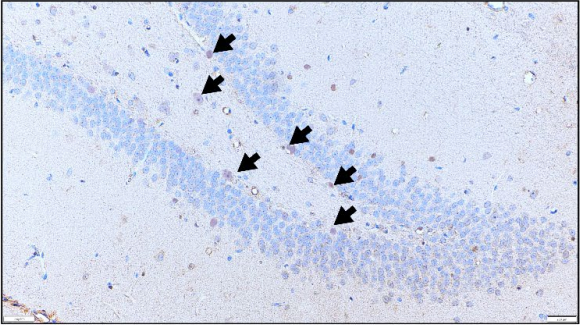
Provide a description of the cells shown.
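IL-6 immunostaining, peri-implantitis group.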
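Between the two limbs of the band lies the hilus, more loosely cellular. Several cells with a brownish tint sit along the inner edge of the band, facing the hilus, and the arrows point to them.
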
